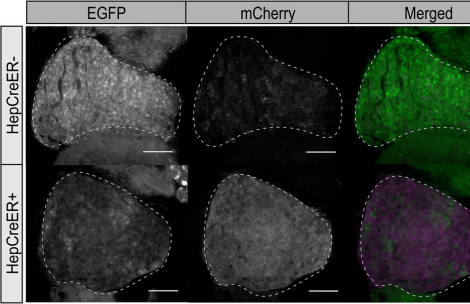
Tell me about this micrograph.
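The liver is a compact lobe of densely packed small rounded cells that give it a fine granular texture. In the upper row the liver is bright in the first channel and dark in the second, so the merged image is green. In the lower row the liver is dim in the first channel and bright in the second, so the merged image appears magenta.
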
